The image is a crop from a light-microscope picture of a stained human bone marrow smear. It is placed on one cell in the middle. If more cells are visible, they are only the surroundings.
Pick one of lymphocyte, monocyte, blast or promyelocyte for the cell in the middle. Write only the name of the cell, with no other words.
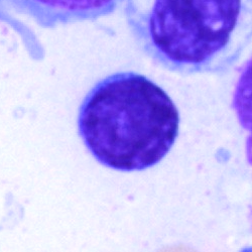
lymphocyte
